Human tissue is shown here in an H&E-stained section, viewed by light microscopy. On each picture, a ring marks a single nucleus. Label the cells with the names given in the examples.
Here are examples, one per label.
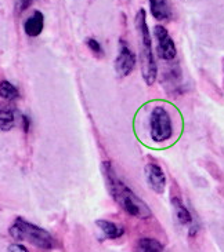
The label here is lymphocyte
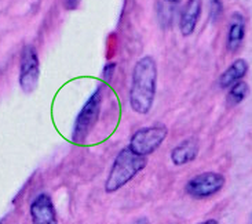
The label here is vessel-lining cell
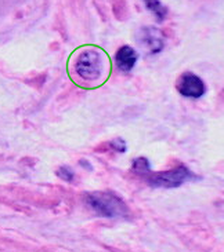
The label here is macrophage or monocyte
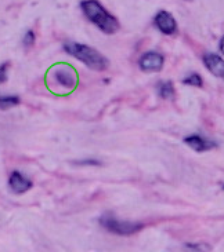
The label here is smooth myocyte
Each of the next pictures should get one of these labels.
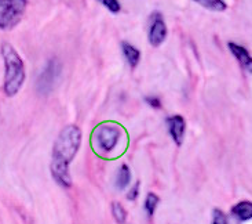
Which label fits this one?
smooth myocyte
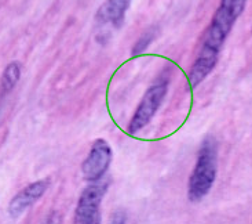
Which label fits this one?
smooth myocyte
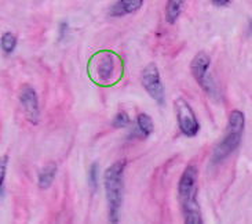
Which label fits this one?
smooth myocyte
